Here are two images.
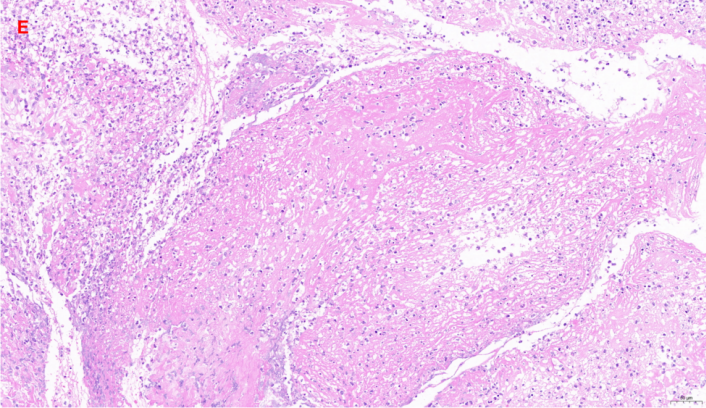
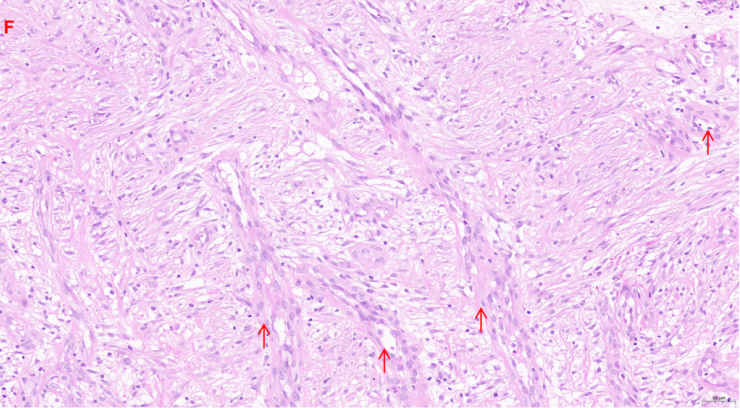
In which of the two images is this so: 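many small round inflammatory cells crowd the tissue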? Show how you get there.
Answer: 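The first image. First image: dense scattering of small round dark nuclei through and around the pink tissue.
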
